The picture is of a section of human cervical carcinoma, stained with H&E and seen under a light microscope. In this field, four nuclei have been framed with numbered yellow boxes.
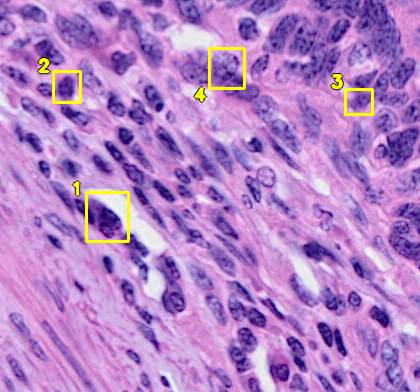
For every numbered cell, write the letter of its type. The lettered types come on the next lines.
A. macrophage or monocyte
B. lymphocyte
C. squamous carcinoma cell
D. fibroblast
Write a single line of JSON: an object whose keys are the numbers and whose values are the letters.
{"1": "B", "2": "B", "3": "C", "4": "C"}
